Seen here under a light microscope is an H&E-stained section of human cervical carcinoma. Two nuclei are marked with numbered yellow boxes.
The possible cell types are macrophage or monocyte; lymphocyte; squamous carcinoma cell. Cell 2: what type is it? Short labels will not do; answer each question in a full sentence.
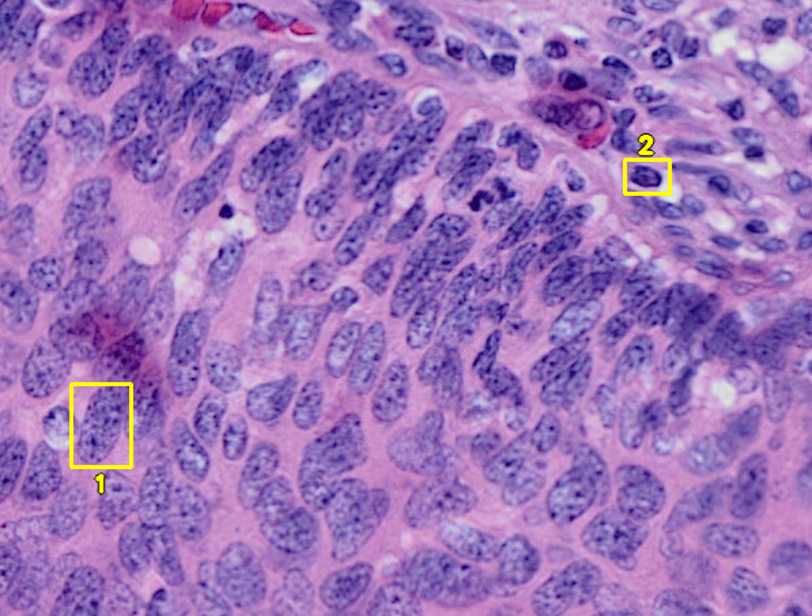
As for number 2, that cell is a lymphocyte.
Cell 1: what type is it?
The one numbered 1 among the marked cells is a squamous carcinoma cell.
